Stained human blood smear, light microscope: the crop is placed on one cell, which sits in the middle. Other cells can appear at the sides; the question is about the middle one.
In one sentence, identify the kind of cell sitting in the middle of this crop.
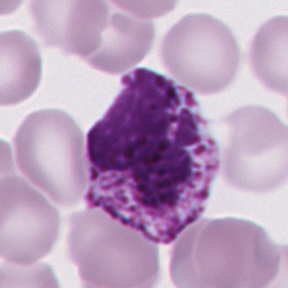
Classification of the middle cell gives a basophil.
